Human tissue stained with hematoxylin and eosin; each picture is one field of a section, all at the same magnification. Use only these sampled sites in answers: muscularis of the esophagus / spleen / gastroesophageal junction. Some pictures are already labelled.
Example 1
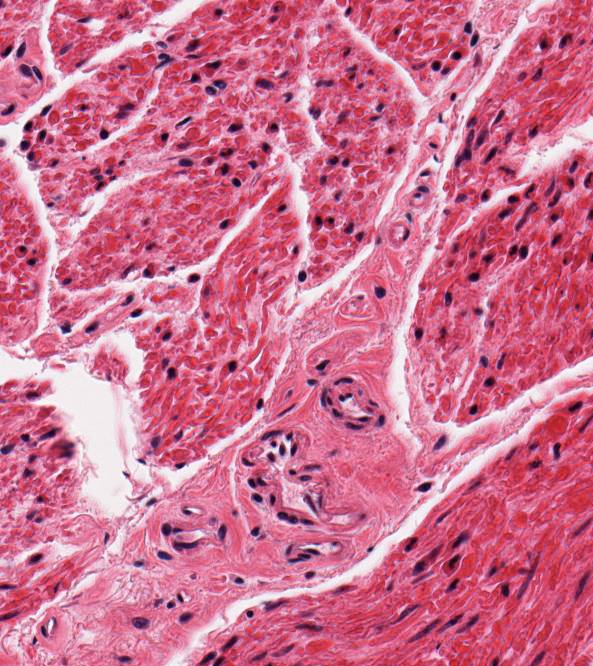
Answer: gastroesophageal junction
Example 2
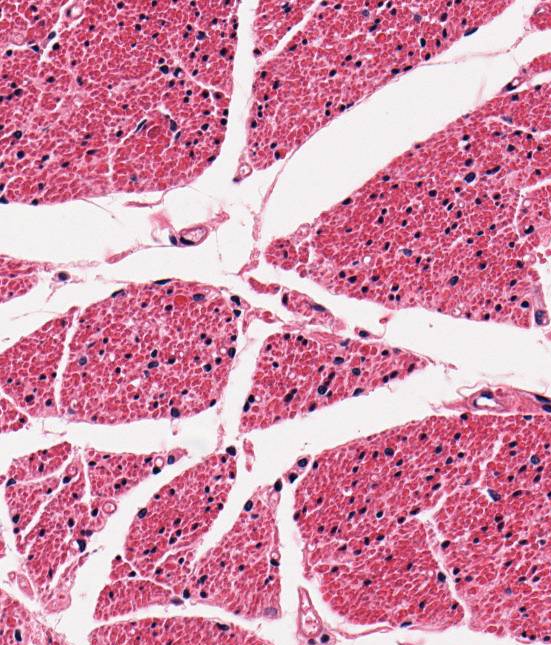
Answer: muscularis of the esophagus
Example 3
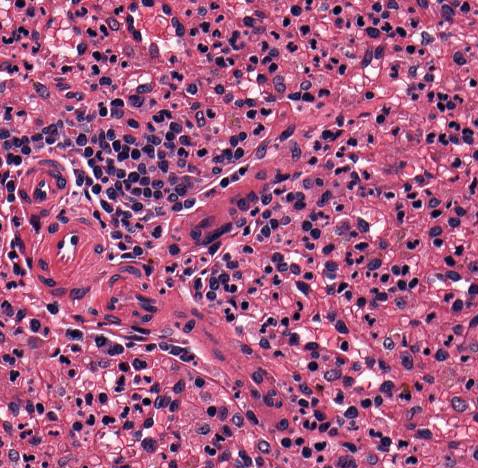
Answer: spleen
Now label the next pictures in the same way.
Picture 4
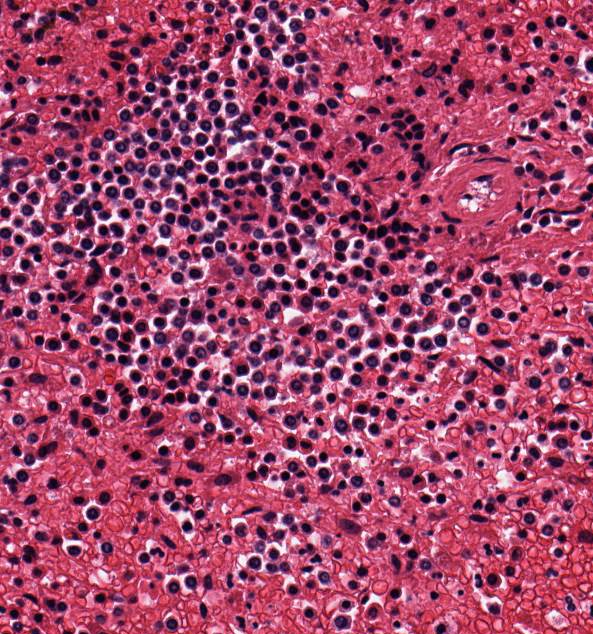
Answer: spleen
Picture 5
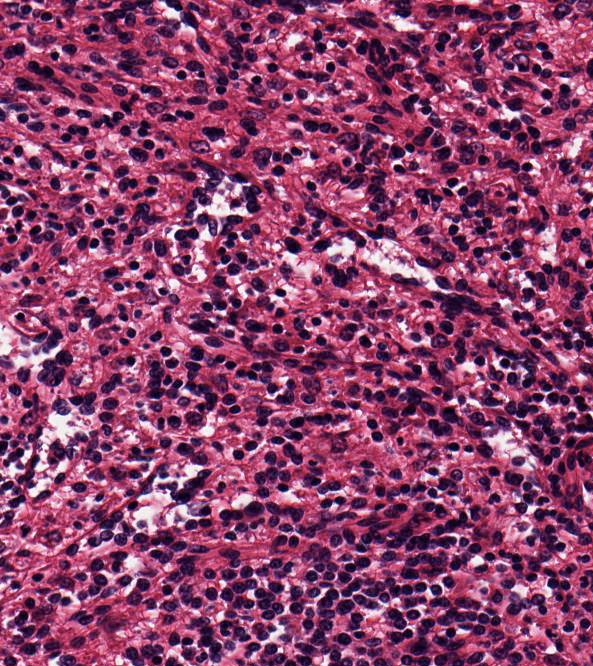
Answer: spleen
